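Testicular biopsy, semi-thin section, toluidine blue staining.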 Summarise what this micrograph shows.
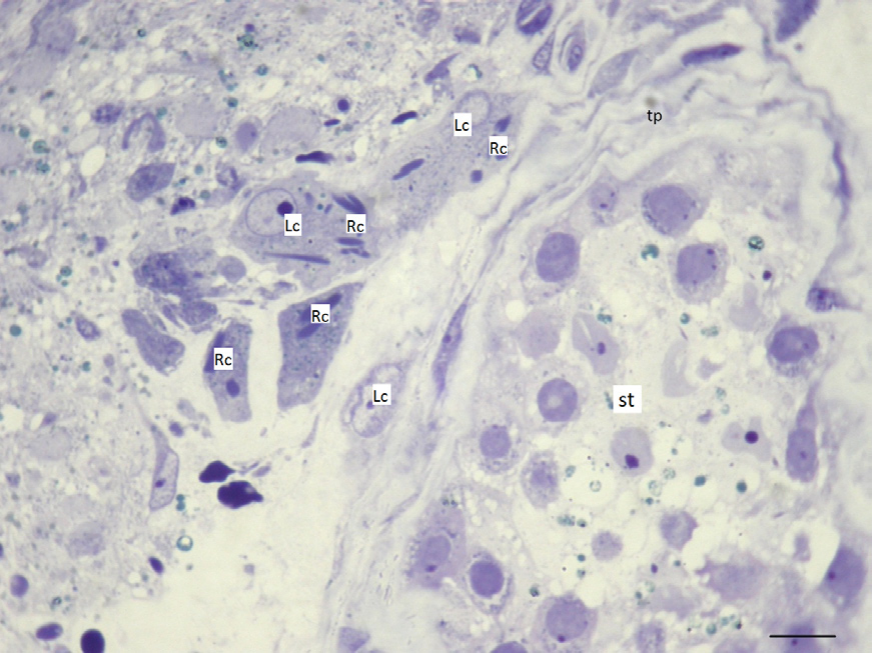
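This is human testis, showing interstitial tissue with Leydig cells next to a seminiferous tubule. The Leydig cells are large polygonal cells with round nuclei and prominent nucleoli. Their abundant blue-grey cytoplasm contains dark, elongated rod-shaped Reinke's crystals. Layered, fibrous tunica propria with flattened cells separates the interstitium from the tubule.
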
